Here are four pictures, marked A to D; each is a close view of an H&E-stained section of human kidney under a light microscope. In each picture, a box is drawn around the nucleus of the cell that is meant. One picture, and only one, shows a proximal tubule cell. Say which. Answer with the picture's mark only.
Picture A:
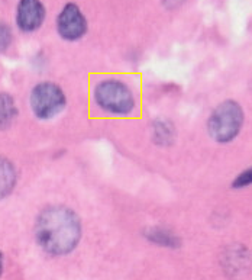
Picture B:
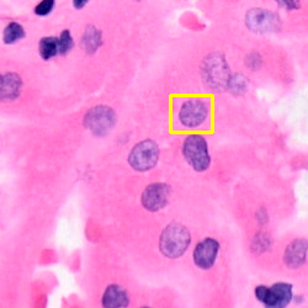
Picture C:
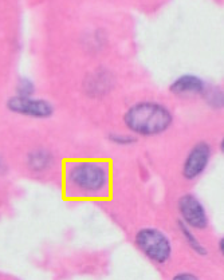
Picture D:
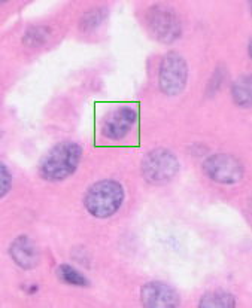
B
